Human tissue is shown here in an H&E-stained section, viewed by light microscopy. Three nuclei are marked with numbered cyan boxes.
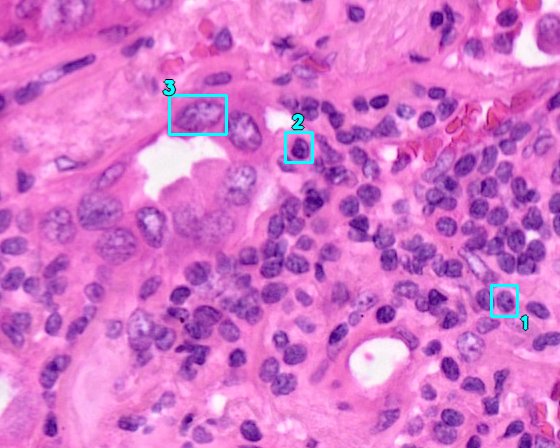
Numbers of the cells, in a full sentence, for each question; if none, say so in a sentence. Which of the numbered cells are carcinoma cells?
It is only cell 3 that is a carcinoma cell among the numbered cells.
